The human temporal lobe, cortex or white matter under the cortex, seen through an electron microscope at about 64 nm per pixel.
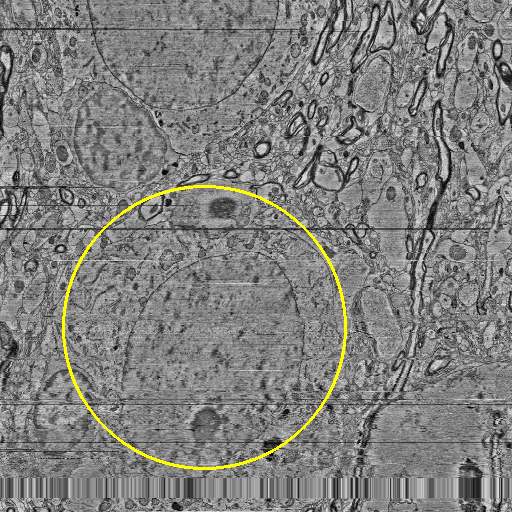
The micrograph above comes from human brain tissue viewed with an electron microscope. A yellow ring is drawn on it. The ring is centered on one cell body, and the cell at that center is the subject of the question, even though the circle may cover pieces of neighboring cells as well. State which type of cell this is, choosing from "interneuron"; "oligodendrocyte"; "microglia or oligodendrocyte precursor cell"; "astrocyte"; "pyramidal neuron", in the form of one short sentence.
The cell the ring is centered on is a pyramidal neuron.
